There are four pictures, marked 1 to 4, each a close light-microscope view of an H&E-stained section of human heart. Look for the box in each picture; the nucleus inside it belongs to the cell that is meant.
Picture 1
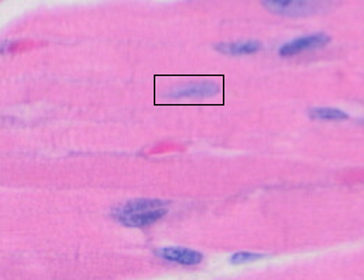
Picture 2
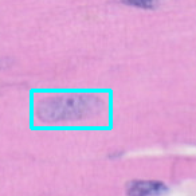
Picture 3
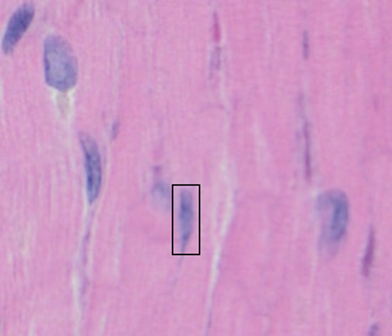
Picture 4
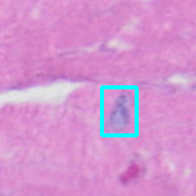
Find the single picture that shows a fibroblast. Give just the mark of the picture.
3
